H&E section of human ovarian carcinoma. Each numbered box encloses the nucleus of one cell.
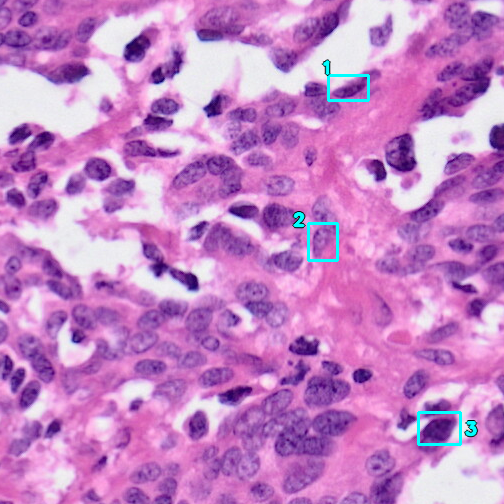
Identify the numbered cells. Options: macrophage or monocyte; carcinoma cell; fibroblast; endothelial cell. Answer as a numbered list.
1. carcinoma cell
2. macrophage or monocyte
3. carcinoma cell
